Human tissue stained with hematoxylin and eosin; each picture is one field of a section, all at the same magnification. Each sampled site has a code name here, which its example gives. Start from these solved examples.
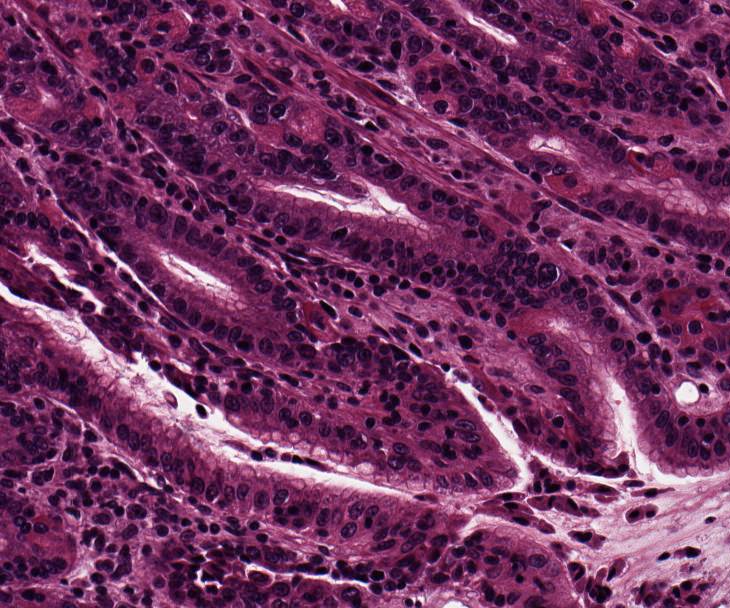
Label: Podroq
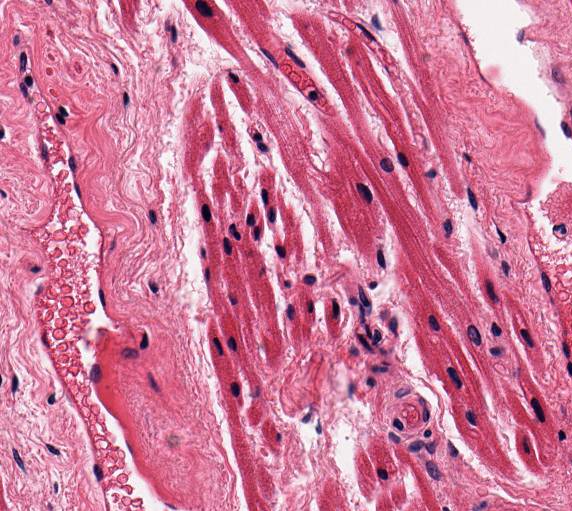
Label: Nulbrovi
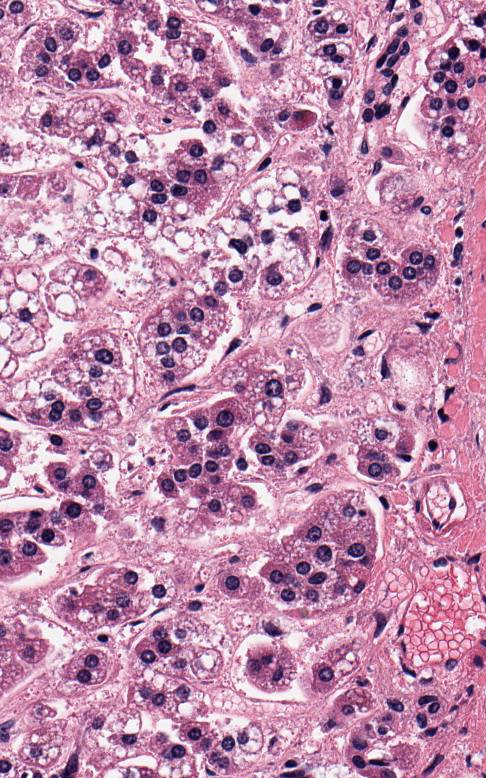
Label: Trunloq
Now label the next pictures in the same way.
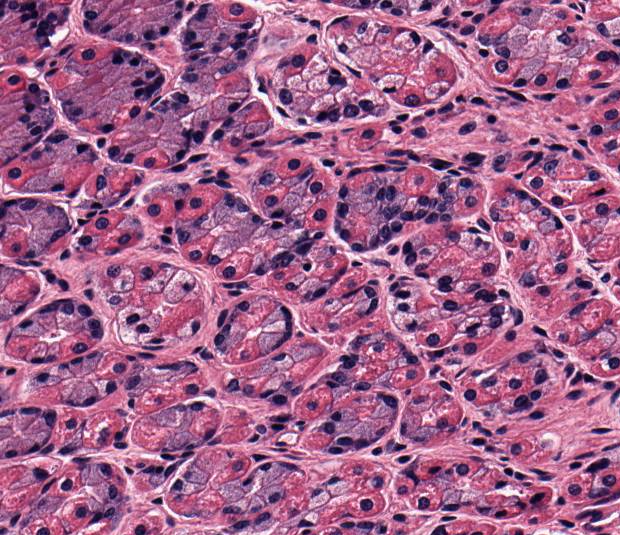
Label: Podroq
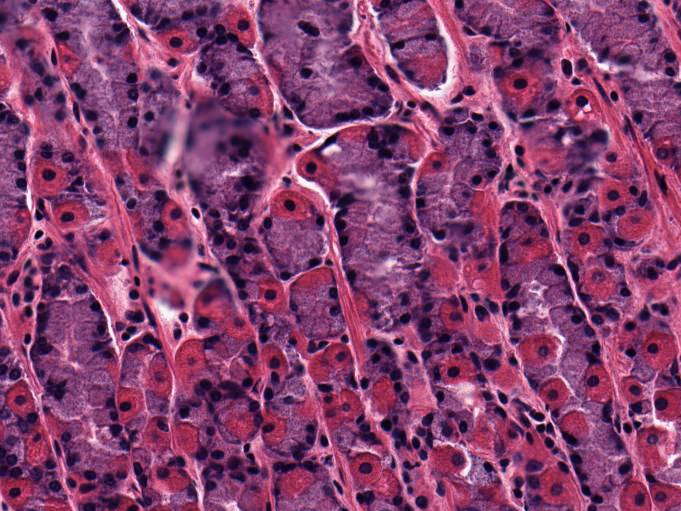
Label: Podroq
